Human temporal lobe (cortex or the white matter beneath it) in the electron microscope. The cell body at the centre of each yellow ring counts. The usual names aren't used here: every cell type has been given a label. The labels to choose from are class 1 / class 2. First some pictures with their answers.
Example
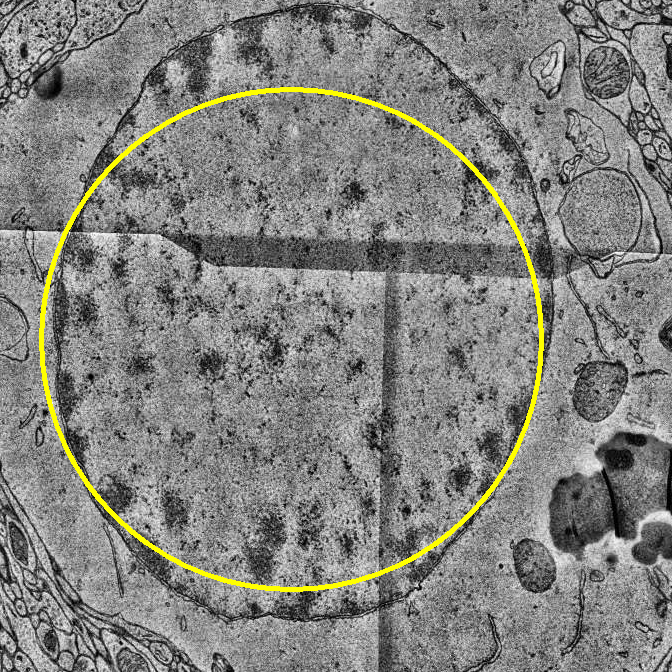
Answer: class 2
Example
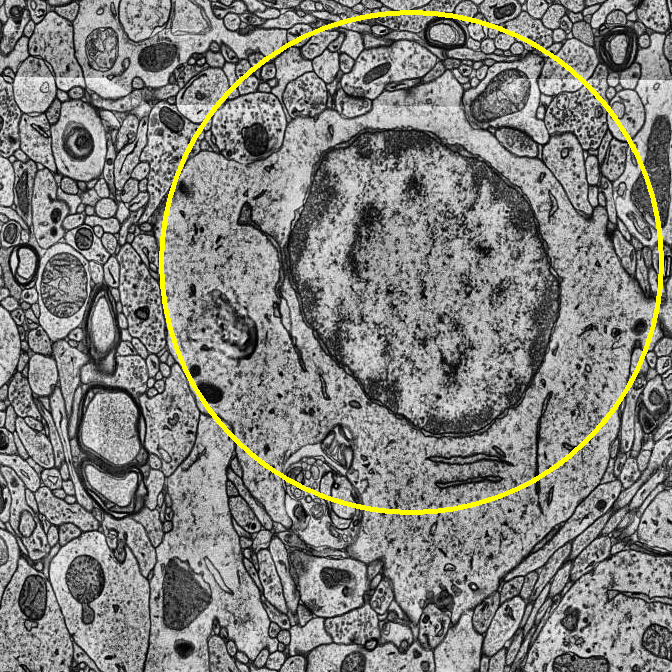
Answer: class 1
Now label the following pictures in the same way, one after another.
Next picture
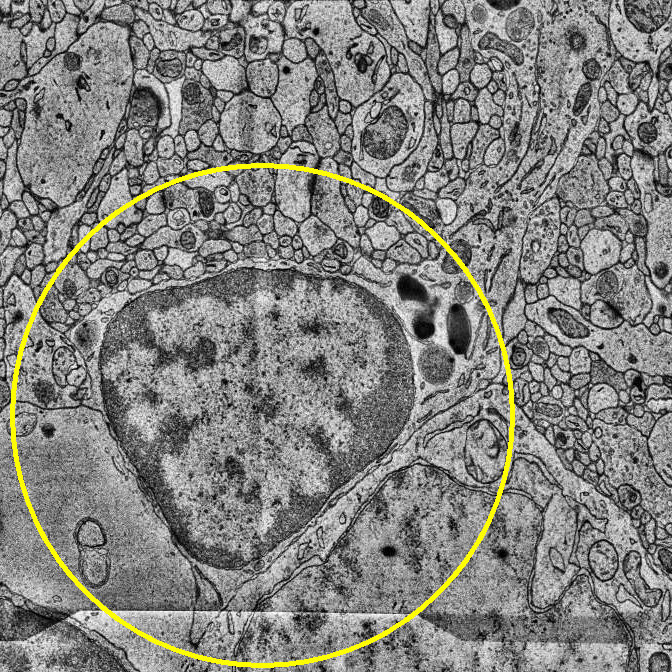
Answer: class 1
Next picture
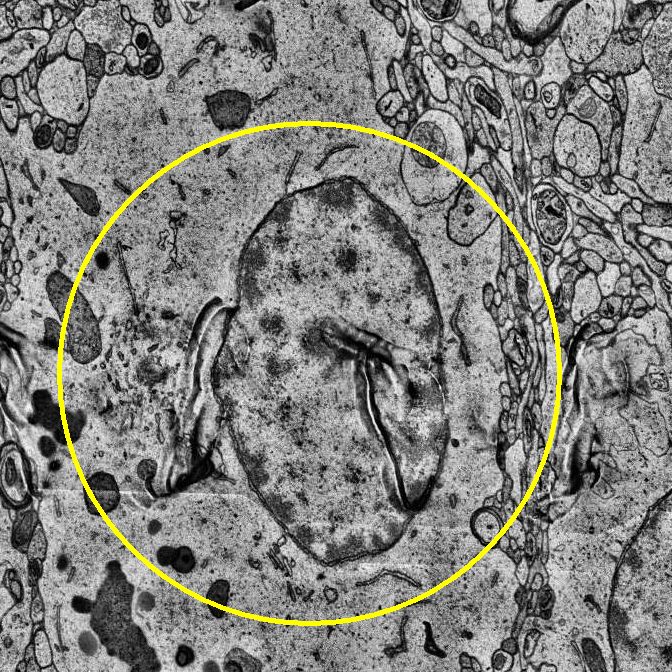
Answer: class 2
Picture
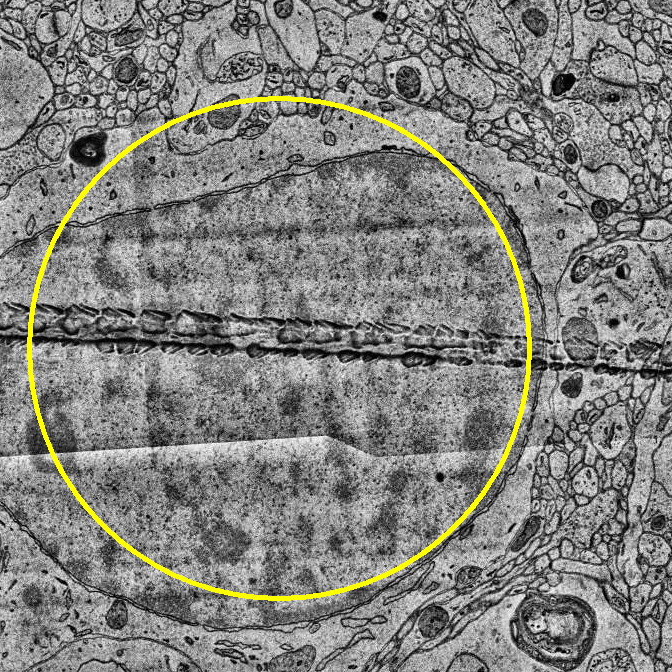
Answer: class 1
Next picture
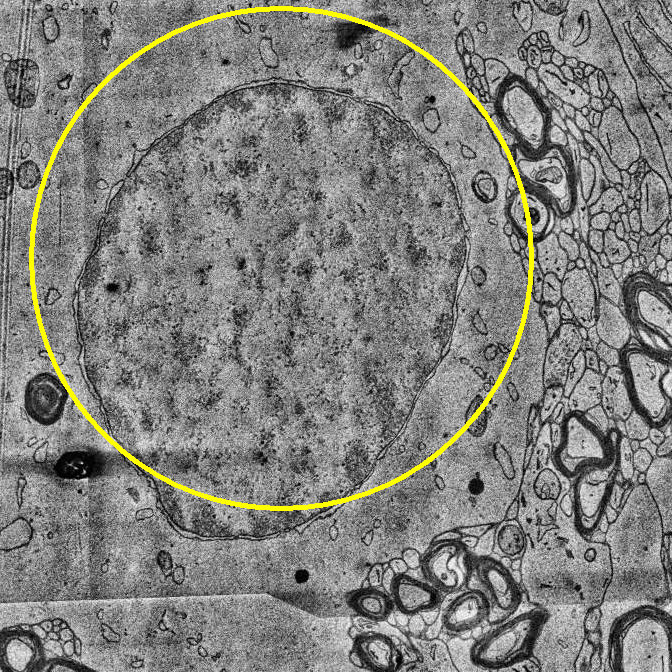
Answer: class 2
